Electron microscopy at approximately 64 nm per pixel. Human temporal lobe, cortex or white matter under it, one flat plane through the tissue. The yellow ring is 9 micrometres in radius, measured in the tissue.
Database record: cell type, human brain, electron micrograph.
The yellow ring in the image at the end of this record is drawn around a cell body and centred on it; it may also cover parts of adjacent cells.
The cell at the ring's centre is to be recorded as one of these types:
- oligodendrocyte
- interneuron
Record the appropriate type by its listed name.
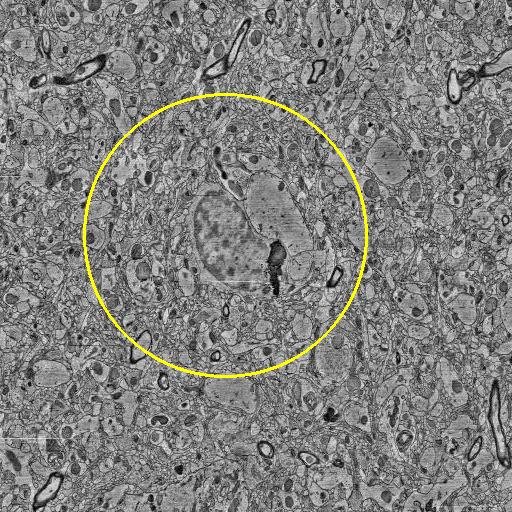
oligodendrocyte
